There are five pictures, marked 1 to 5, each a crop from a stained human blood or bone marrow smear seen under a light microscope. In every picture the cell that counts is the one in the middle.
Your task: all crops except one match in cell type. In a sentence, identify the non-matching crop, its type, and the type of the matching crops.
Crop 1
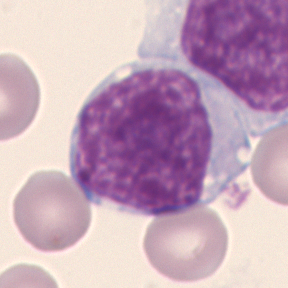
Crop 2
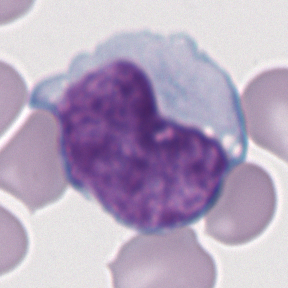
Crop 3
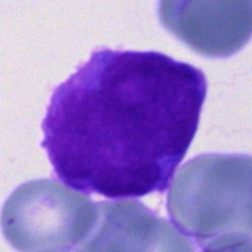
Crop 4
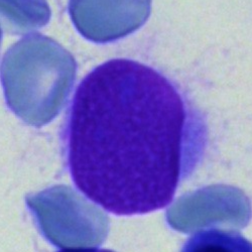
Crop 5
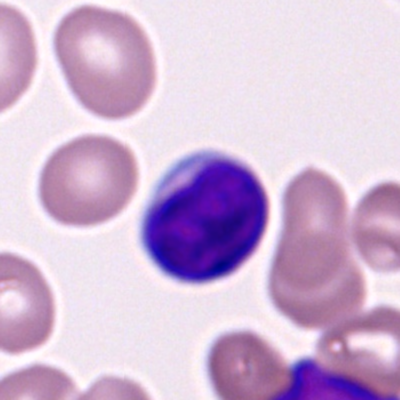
All the crops show blasts, barring crop 5, which is a lymphocyte.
